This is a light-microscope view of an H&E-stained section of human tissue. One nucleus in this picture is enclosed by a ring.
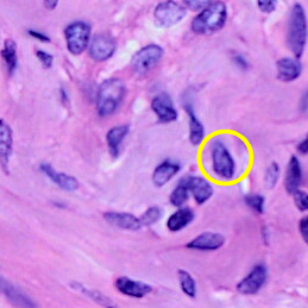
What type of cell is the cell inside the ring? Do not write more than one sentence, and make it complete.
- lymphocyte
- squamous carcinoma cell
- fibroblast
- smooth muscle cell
In the tissue at hand, the cell inside the ring is a fibroblast.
